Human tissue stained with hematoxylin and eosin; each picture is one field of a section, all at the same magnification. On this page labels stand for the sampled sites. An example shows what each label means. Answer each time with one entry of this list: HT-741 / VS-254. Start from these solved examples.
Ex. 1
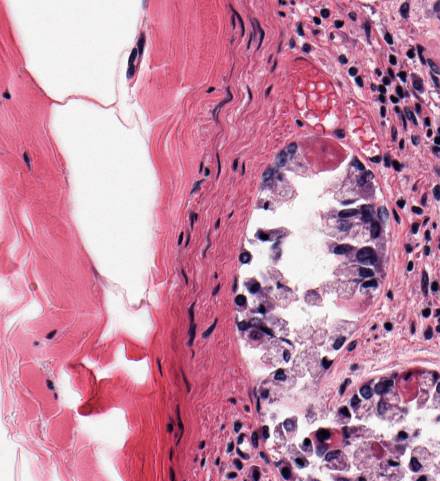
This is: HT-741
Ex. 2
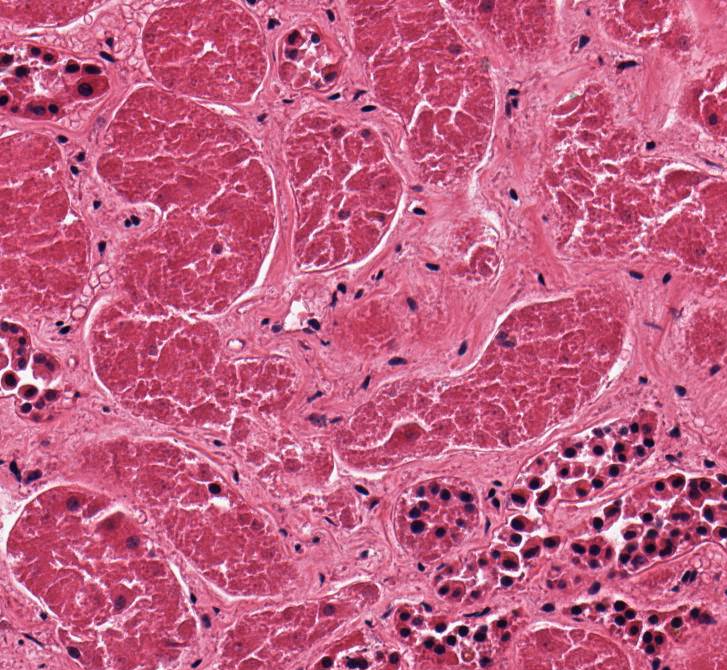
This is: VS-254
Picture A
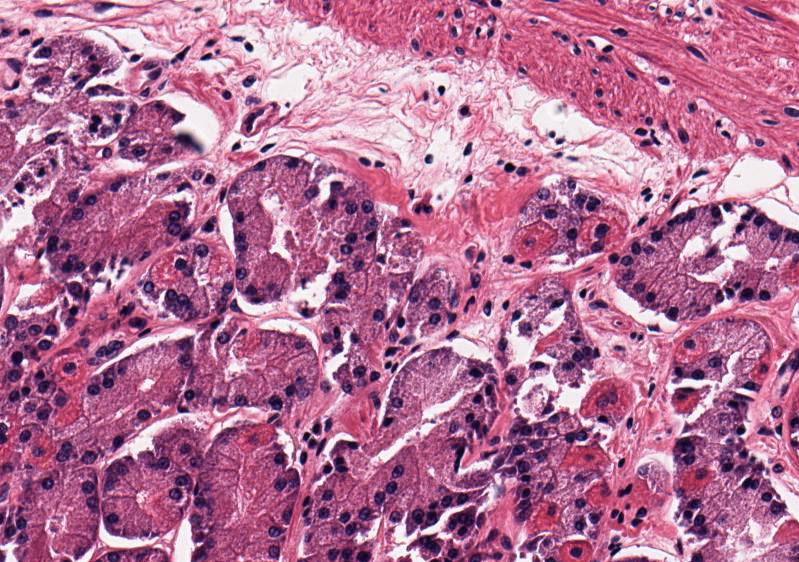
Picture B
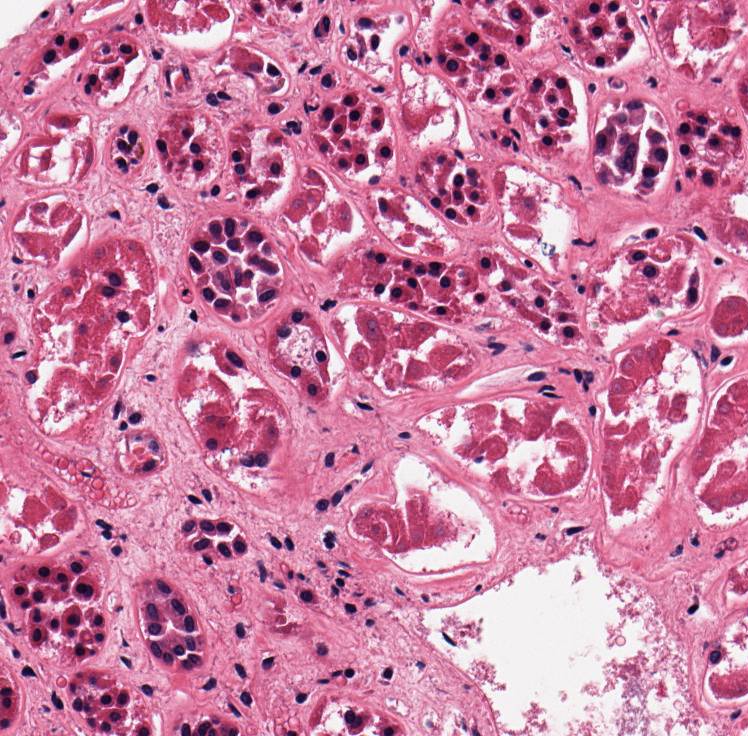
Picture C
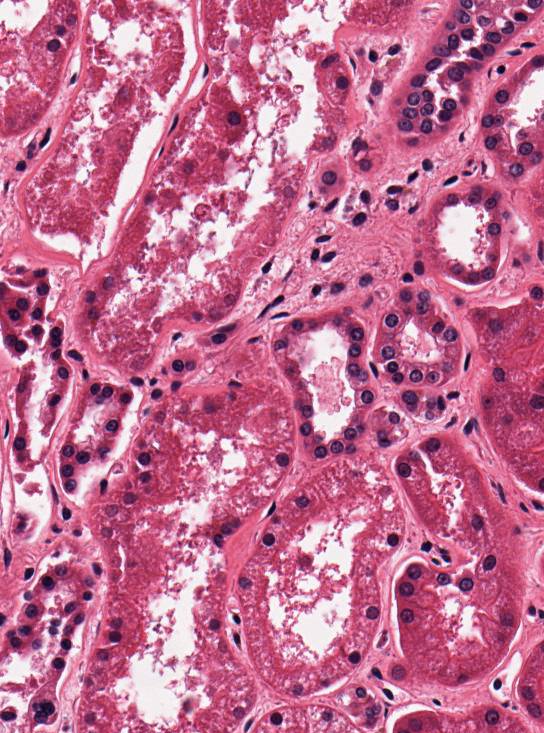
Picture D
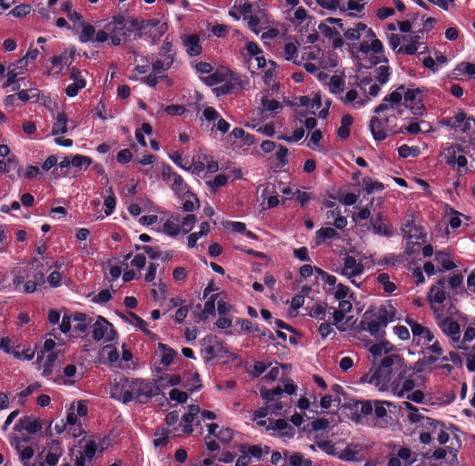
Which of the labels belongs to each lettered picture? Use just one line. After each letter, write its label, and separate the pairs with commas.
A HT-741, B VS-254, C VS-254, D HT-741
